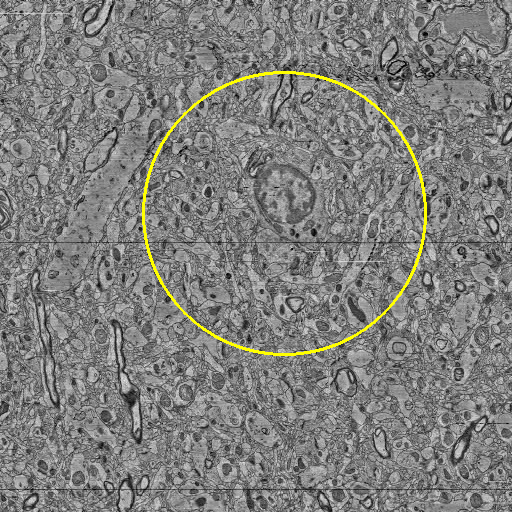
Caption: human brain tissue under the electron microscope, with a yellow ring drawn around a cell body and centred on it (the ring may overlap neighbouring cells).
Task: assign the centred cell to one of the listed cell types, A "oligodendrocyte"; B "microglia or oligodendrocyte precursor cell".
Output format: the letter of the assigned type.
A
